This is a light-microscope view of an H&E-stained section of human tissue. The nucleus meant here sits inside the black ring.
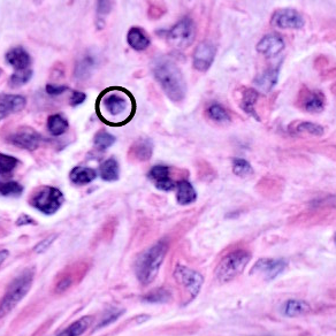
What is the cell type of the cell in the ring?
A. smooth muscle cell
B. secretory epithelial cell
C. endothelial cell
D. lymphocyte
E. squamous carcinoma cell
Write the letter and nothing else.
D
